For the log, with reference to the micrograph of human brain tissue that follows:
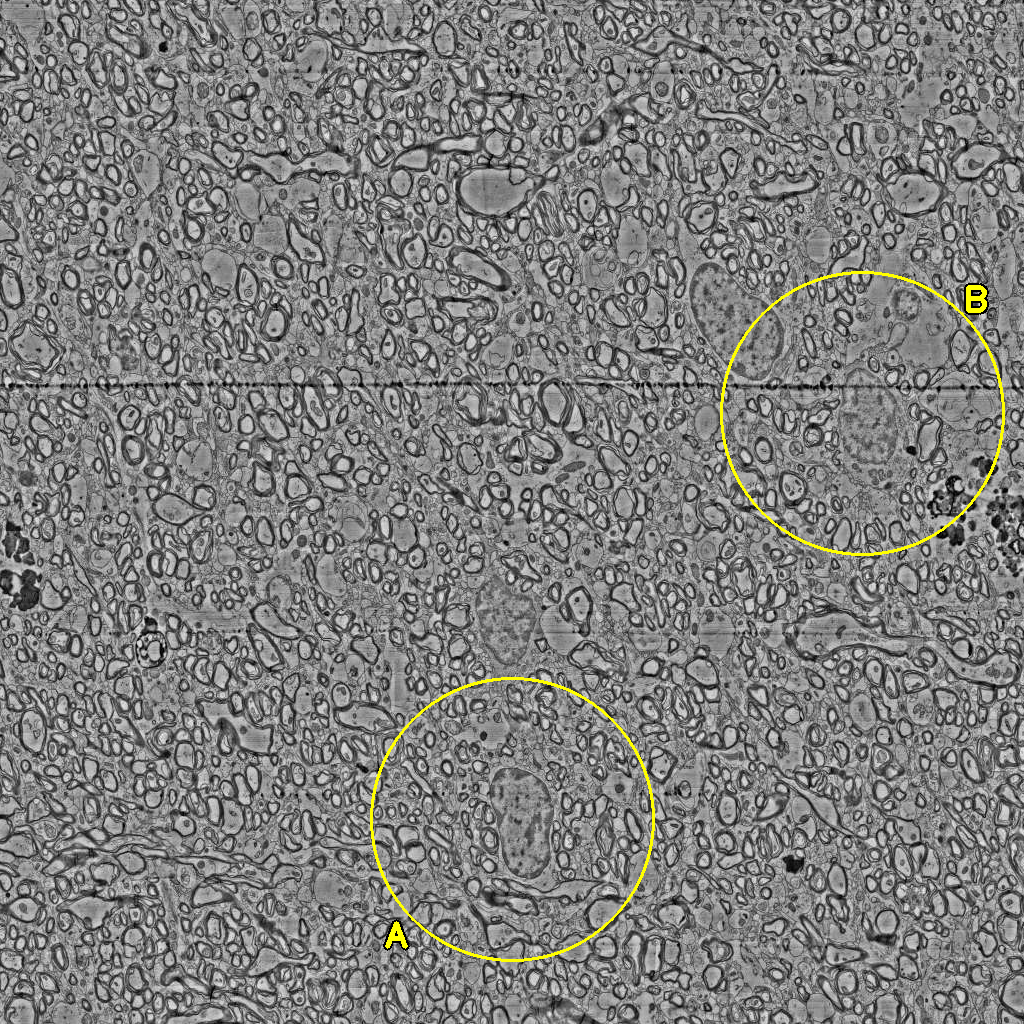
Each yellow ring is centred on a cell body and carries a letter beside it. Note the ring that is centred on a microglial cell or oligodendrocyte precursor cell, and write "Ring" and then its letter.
Ring A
